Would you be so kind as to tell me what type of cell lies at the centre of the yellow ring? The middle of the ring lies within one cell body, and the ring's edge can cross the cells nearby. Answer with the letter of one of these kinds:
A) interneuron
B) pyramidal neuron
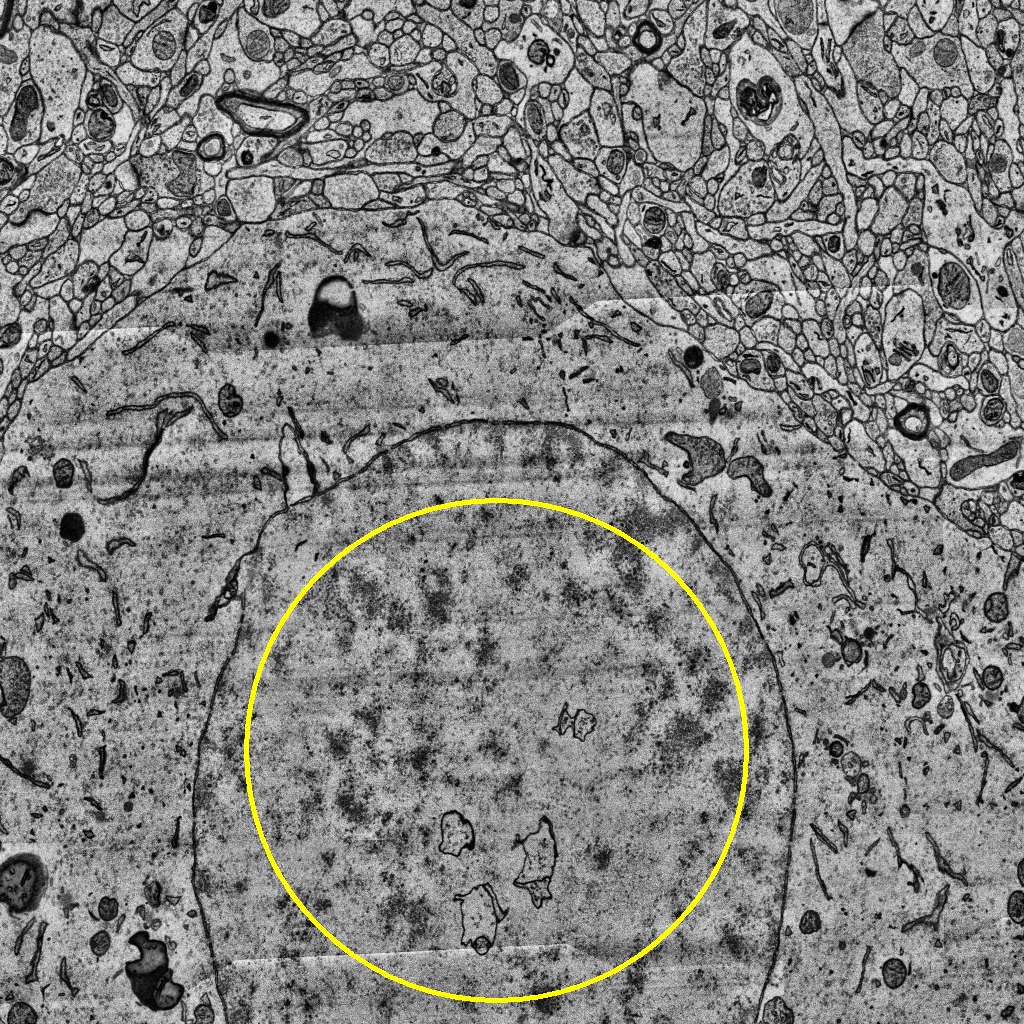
B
